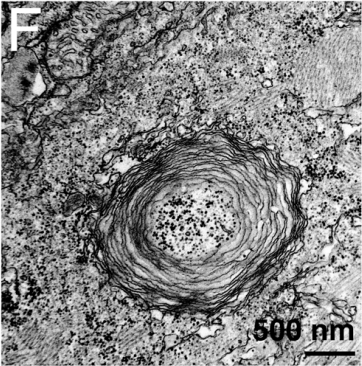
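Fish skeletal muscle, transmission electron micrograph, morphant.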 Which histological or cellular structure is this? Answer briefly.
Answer: Whorled membranous structures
